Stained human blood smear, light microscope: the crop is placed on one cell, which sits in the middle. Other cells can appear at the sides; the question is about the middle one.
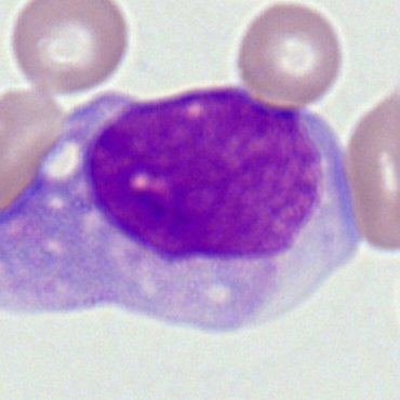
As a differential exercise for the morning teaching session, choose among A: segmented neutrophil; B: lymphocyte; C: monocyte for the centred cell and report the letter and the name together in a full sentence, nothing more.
According to option C, which is correct, the cell in the middle is a monocyte.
